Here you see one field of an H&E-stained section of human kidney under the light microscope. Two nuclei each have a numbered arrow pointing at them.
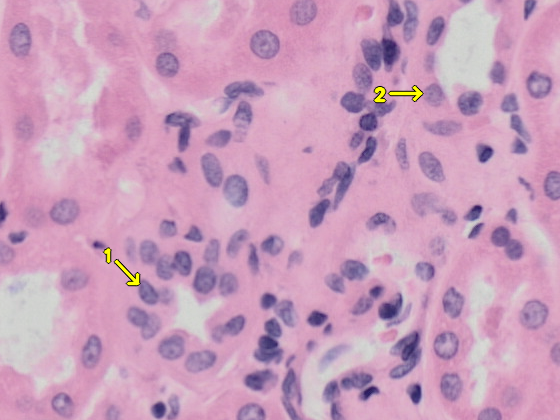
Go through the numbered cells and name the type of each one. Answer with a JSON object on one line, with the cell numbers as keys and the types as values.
{"1": "collecting duct cell", "2": "loop of Henle or distal tubule cell"}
